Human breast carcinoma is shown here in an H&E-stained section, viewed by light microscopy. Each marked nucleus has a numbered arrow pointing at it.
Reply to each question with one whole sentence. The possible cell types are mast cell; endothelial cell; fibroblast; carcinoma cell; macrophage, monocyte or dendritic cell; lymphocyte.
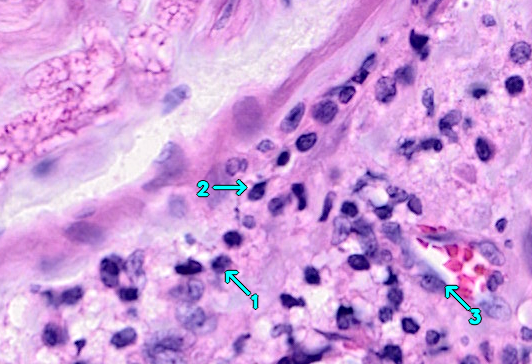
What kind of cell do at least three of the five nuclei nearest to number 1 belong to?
Around number 1, most of the five nearest nuclei are those of macrophages, monocytes or dendritic cells.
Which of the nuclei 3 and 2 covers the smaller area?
Nucleus 2 is the smaller one; nucleus 3 covers about 2 times its area.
